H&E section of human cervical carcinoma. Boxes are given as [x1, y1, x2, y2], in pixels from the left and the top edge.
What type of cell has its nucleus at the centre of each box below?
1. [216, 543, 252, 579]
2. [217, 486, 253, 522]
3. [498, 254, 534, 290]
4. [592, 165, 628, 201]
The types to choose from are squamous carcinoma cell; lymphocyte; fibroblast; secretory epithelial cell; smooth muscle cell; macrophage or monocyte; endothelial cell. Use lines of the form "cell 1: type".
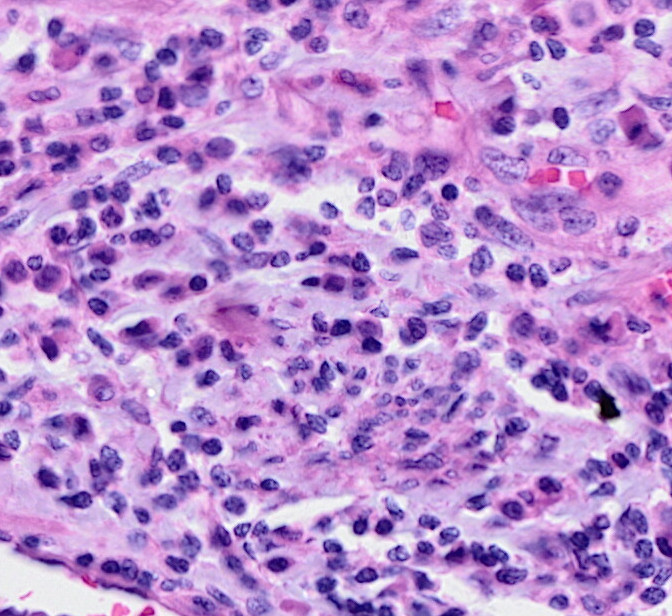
cell 1: lymphocyte
cell 2: lymphocyte
cell 3: lymphocyte
cell 4: endothelial cell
